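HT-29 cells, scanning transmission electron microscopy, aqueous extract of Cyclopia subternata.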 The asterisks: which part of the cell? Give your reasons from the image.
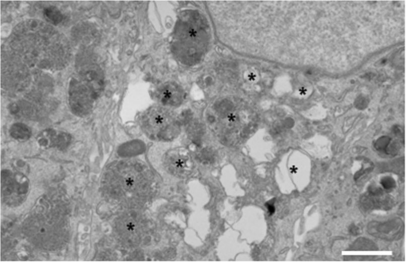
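Numerous membrane-bound vesicles with dense granular contents crowd the cytoplasm. Some marked vacuoles are pale with small inclusions. The answer: Autophagic vacuoles.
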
